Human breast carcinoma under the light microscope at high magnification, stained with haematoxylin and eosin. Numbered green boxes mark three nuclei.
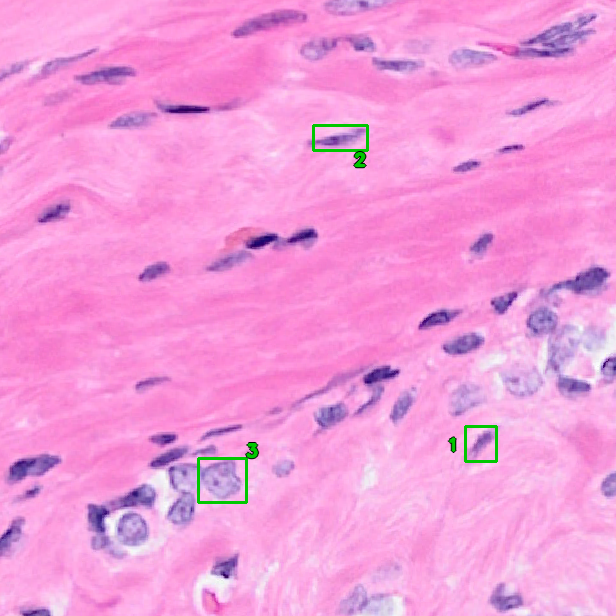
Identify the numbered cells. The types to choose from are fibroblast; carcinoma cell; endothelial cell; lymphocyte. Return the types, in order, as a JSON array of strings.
["fibroblast", "fibroblast", "carcinoma cell"]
